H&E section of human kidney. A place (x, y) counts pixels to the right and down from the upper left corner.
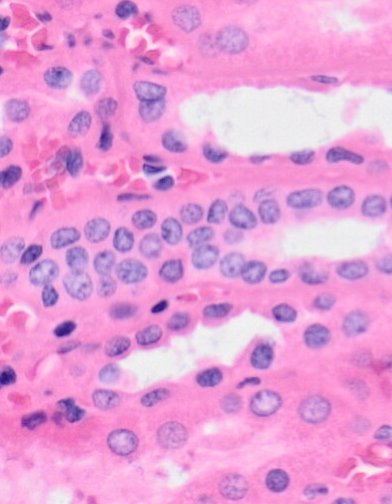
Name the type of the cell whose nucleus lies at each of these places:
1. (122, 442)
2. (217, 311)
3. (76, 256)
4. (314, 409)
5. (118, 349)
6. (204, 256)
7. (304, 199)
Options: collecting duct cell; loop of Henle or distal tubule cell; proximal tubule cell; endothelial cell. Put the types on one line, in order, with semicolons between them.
proximal tubule cell; loop of Henle or distal tubule cell; collecting duct cell; proximal tubule cell; loop of Henle or distal tubule cell; collecting duct cell; collecting duct cell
